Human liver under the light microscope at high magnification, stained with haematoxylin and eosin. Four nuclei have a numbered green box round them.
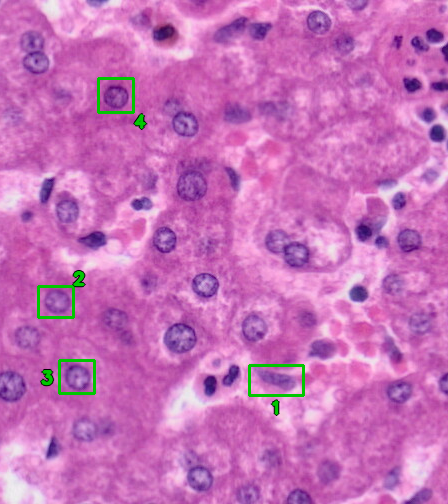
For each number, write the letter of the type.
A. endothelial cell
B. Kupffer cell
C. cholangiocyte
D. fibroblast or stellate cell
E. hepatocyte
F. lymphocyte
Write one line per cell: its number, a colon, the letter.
1: B
2: E
3: E
4: E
